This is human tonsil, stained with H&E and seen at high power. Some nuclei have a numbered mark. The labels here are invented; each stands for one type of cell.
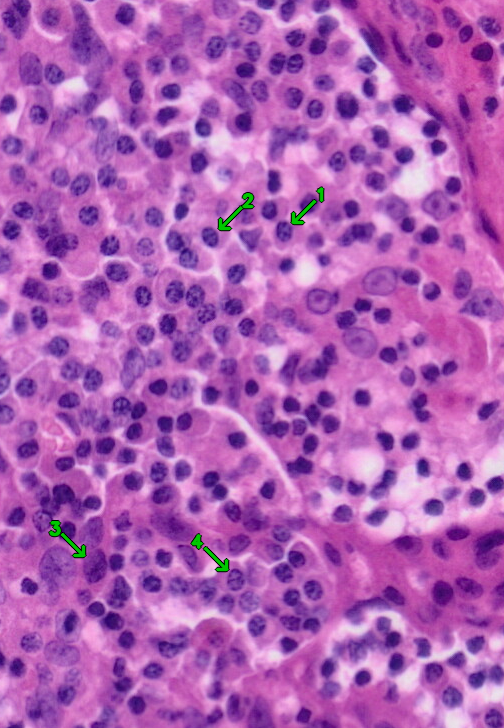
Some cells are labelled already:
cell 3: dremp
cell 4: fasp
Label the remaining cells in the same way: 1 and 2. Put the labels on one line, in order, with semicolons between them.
fasp; fasp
